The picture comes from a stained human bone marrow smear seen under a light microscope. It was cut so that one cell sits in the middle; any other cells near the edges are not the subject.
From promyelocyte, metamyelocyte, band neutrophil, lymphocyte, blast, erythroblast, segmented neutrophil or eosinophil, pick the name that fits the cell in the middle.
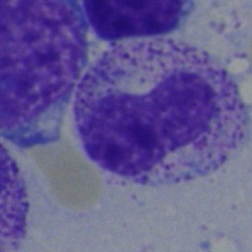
metamyelocyte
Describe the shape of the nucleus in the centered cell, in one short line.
The cell carries one compact nucleus shaped round, oval or like a kidney.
